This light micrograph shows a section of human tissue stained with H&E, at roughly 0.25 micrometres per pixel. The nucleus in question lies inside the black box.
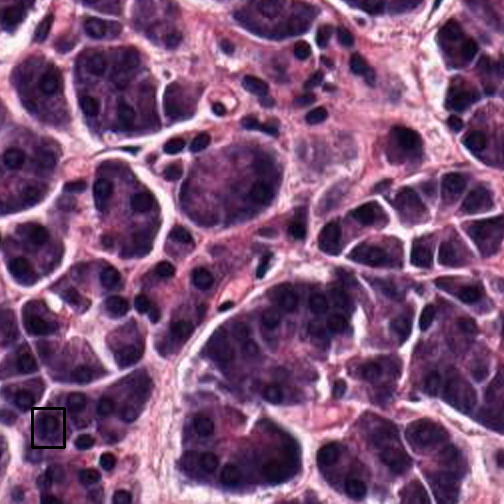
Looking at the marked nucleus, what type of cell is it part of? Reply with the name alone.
pancreatic acinar cell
